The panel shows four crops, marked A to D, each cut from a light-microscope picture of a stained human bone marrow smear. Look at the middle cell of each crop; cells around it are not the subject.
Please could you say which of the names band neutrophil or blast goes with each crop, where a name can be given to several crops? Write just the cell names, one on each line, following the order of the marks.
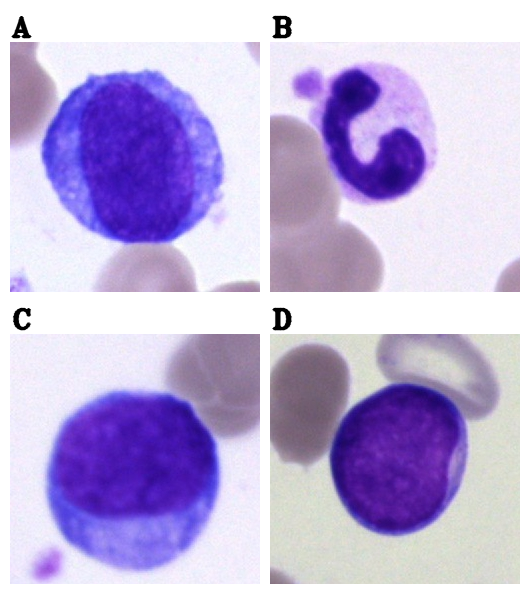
blast
band neutrophil
blast
blast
